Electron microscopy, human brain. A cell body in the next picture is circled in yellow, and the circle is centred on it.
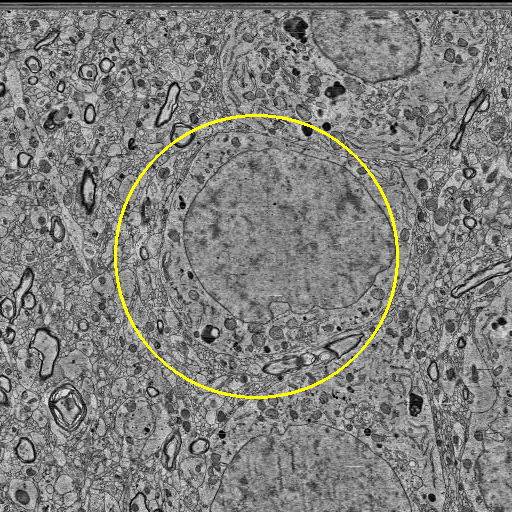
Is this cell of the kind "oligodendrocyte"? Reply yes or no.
no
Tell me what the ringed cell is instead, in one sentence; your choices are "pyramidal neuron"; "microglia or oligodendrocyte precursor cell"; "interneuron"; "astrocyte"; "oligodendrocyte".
Instead, the ring in this picture marks a pyramidal neuron.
